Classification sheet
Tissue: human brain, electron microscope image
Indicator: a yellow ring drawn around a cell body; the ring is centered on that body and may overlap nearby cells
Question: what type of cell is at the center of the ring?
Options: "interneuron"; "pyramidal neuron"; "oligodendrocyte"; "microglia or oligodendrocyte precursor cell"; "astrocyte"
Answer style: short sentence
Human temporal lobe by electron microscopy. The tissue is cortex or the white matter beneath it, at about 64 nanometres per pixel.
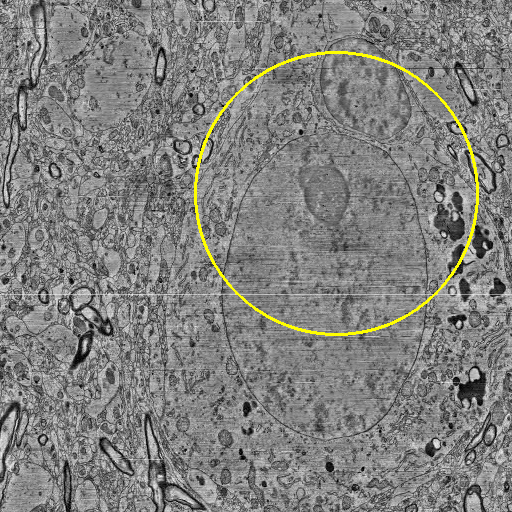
At the ring's center is a pyramidal neuron.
